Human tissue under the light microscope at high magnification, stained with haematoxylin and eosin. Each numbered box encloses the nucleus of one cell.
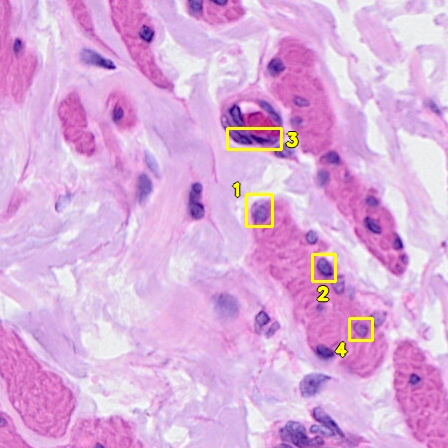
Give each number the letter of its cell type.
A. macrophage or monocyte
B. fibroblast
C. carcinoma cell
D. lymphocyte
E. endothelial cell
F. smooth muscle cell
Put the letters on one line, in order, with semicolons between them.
F; F; E; F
